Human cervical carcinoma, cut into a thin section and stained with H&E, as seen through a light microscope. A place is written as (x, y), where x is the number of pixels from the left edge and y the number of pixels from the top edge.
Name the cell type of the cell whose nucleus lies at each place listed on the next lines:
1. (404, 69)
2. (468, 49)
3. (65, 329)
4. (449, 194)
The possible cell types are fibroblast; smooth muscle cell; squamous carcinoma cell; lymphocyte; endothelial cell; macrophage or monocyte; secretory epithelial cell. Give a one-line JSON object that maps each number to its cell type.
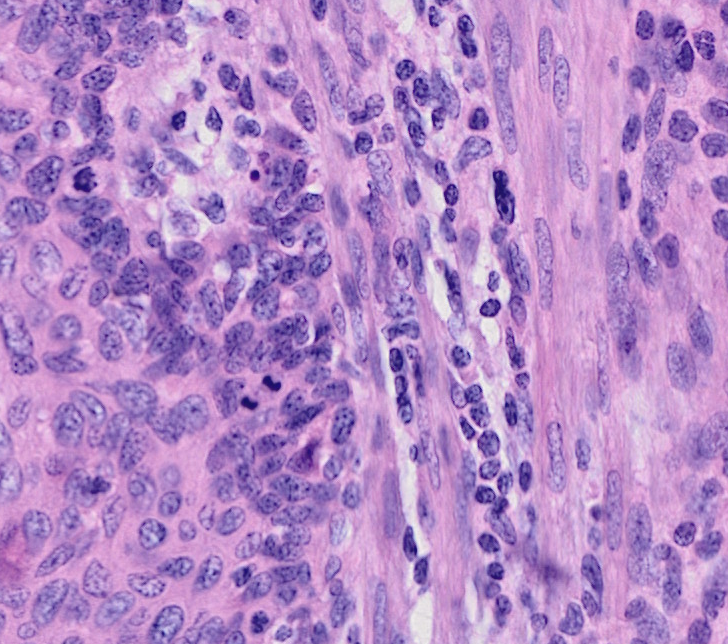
{"1": "lymphocyte", "2": "lymphocyte", "3": "squamous carcinoma cell", "4": "lymphocyte"}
